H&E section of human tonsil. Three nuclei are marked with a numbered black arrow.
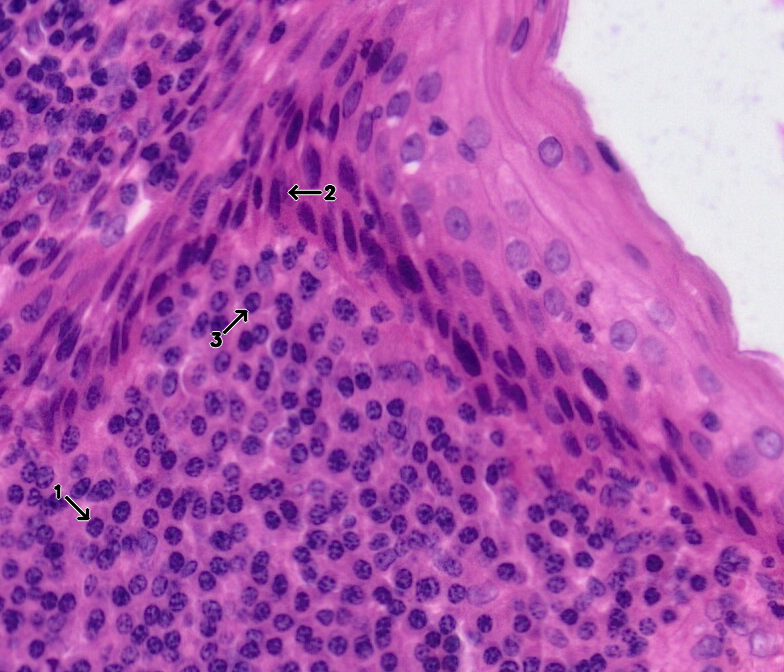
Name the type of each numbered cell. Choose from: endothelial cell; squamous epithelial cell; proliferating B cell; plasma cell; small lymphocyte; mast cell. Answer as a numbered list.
1. plasma cell
2. squamous epithelial cell
3. plasma cell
